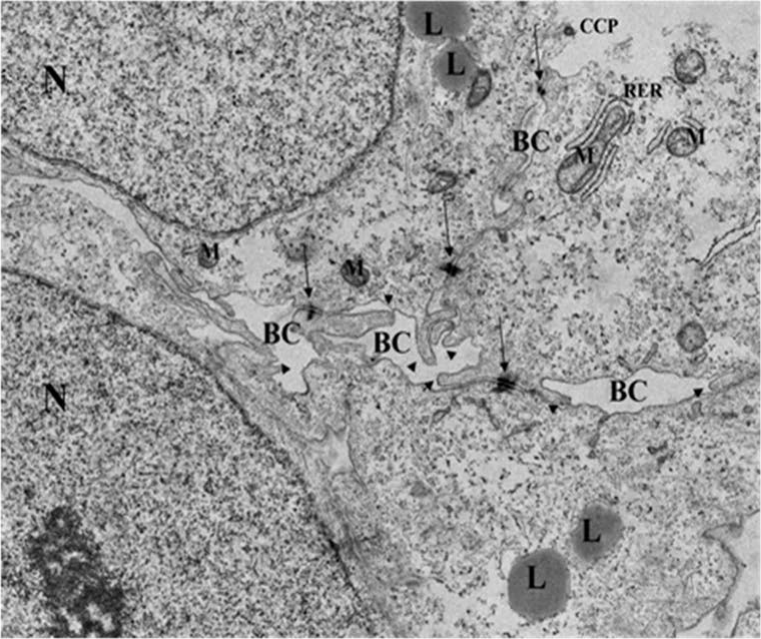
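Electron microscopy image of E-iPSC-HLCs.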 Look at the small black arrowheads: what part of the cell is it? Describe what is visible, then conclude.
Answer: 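Microvilli. The arrowheads lie at the edges of the pale lumens between cells. Small finger-like projections of membrane jut into these lumens.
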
